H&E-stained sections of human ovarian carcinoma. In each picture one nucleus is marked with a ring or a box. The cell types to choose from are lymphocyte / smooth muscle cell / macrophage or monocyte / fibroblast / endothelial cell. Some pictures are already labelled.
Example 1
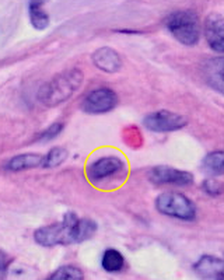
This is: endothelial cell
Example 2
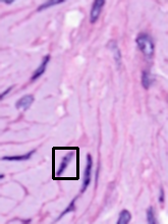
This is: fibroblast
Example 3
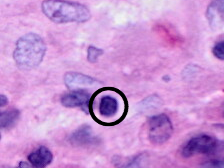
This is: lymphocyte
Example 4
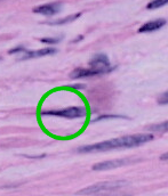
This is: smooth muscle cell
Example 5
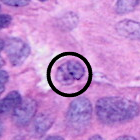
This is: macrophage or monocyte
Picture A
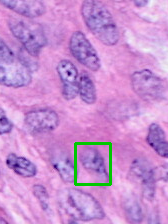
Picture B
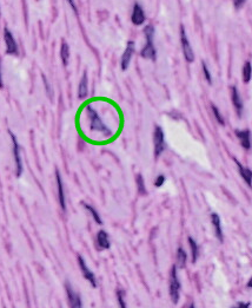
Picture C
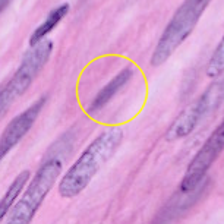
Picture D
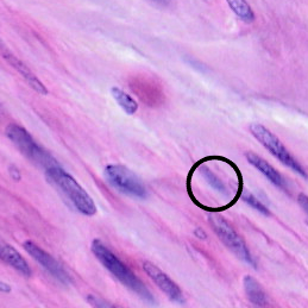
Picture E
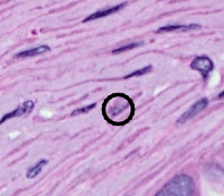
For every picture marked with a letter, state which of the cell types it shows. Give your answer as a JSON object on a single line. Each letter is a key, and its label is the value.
{"A": "fibroblast", "B": "fibroblast", "C": "smooth muscle cell", "D": "smooth muscle cell", "E": "fibroblast"}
